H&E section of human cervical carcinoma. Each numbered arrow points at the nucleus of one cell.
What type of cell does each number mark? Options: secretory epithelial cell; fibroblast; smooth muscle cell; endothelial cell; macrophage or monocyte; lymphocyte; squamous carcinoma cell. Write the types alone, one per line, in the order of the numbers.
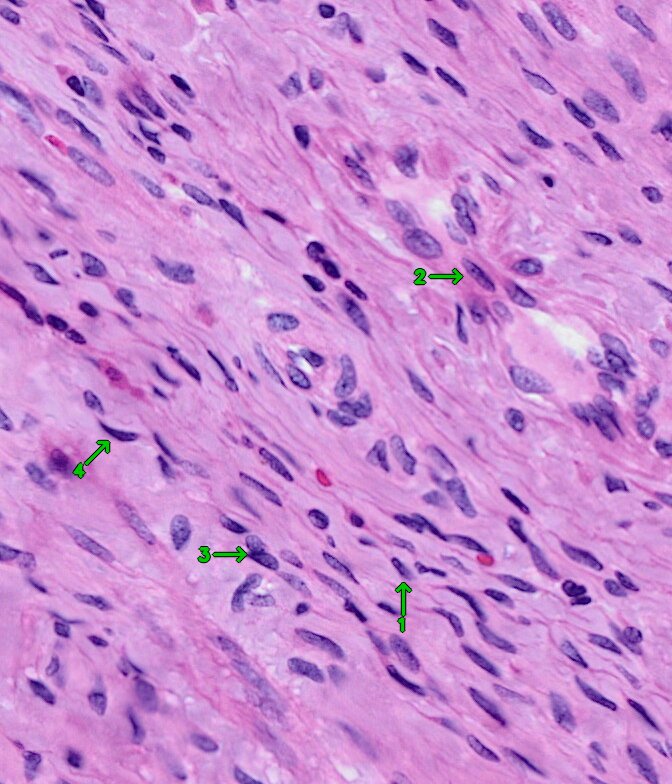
fibroblast
endothelial cell
fibroblast
fibroblast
